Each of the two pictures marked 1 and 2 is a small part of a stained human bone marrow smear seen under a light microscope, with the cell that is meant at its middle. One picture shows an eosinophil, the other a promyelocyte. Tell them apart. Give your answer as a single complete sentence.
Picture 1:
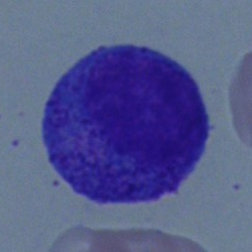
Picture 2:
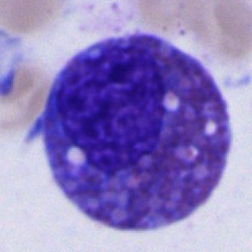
It is picture 1 that shows a promyelocyte, and picture 2 that shows an eosinophil.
